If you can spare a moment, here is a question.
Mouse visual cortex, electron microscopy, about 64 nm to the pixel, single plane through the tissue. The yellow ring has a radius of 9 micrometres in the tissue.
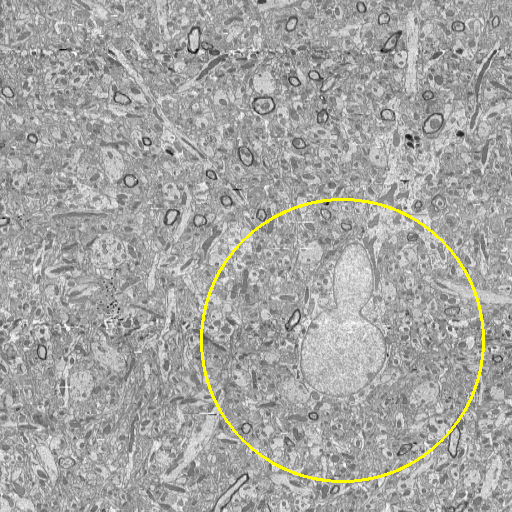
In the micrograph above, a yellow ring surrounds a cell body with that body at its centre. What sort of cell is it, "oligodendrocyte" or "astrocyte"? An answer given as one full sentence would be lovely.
Centred inside the yellow ring, the cell body shown belongs to an astrocyte in this micrograph.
